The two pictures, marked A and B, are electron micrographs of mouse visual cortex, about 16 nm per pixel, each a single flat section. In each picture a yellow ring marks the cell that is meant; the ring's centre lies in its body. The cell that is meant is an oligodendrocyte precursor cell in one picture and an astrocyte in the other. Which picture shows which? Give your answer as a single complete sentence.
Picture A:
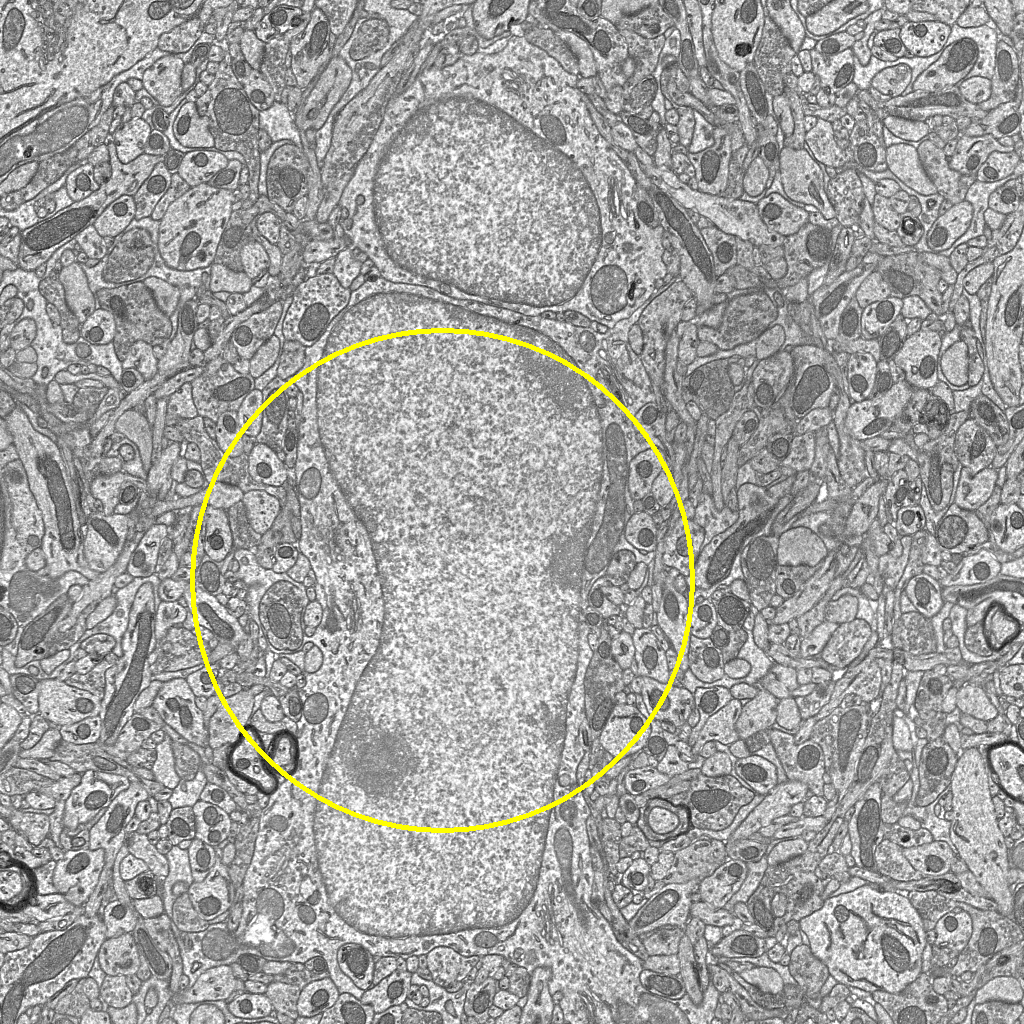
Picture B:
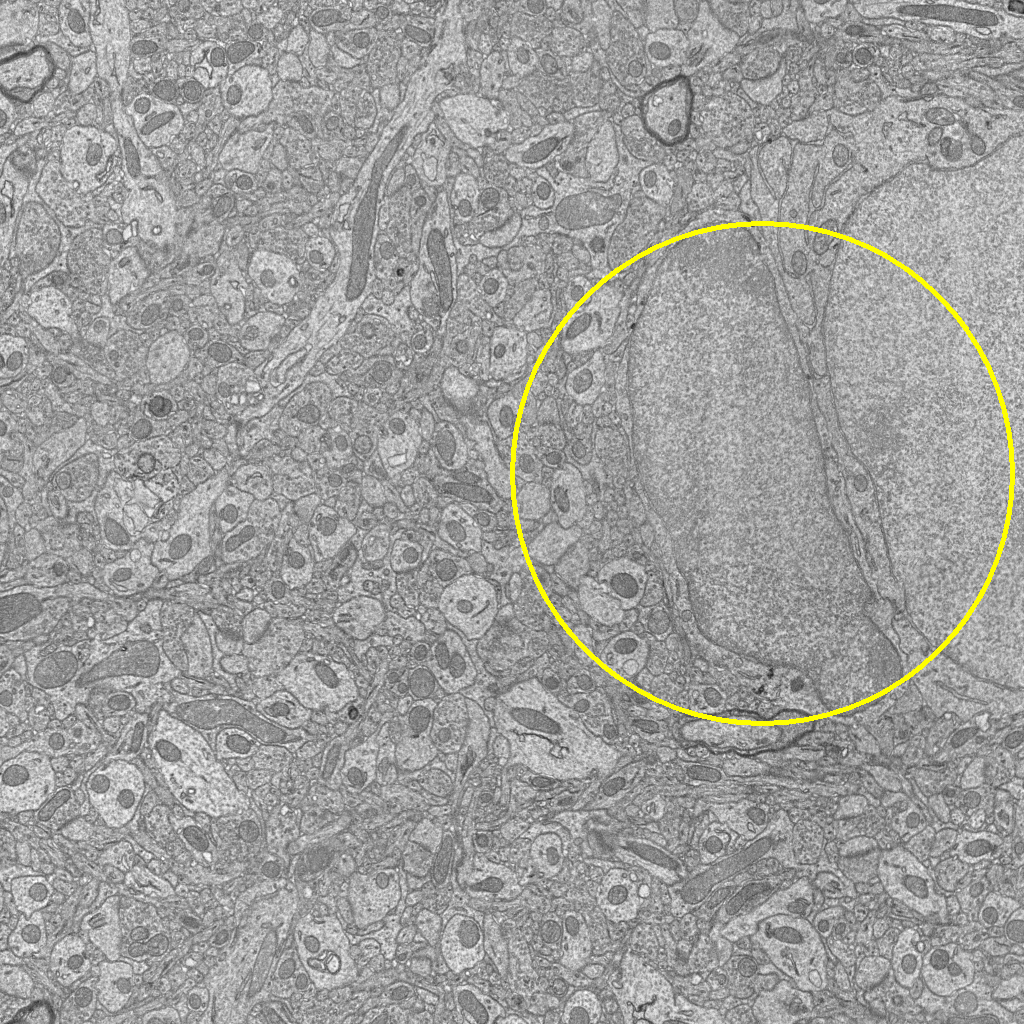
Picture A is of an astrocyte, and picture B is of an oligodendrocyte precursor cell.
